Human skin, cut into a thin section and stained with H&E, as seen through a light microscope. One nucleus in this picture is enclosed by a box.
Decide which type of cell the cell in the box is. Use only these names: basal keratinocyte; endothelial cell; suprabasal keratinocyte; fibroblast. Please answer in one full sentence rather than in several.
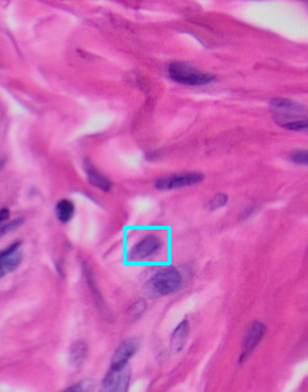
Microscopically, the cell in the box is categorized as an endothelial cell.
